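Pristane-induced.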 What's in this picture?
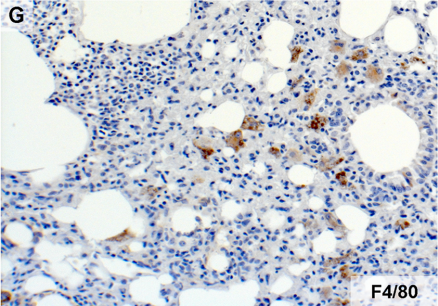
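The airspaces appear as white, rounded holes of varying size, separated by walls crowded with blue-stained nuclei. On the right a small airway is seen as a ring of closely packed, taller epithelial cells around a round lumen. The brown cells are larger than the surrounding cells, with a broad, somewhat granular cytoplasm, and lie singly or in small groups within the walls and at the margins of the airspaces. Toward the upper left the tissue is denser, with sheets of small blue nuclei and no brown cells.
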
